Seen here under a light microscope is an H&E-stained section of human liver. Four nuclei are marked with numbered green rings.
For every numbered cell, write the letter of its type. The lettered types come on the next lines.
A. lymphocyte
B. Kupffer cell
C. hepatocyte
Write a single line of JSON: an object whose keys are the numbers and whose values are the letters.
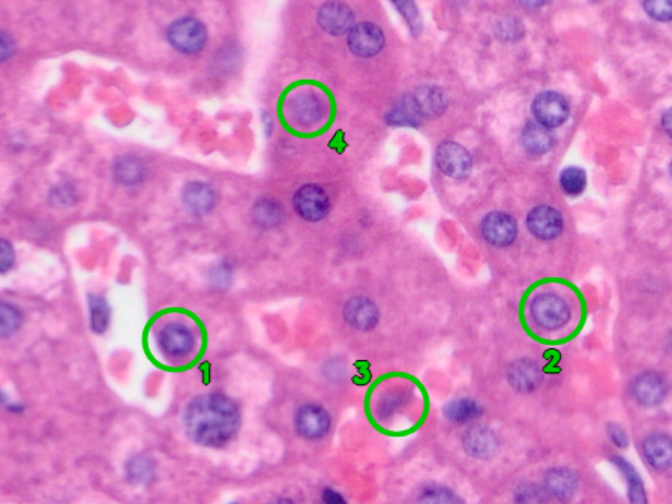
{"1": "C", "2": "C", "3": "B", "4": "C"}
